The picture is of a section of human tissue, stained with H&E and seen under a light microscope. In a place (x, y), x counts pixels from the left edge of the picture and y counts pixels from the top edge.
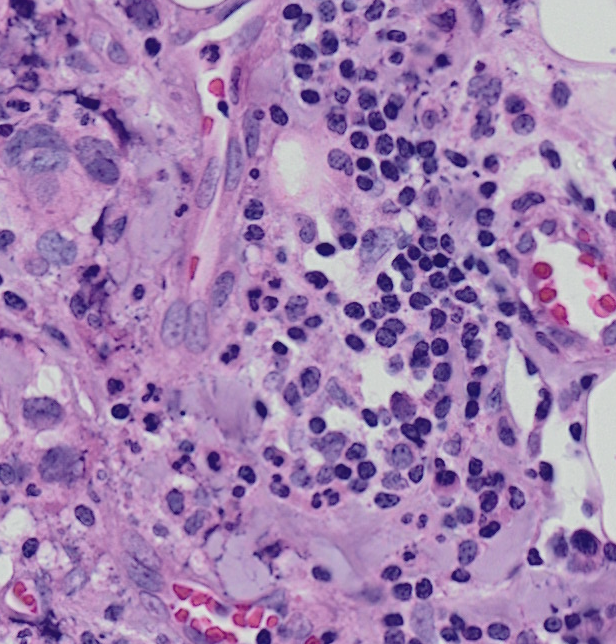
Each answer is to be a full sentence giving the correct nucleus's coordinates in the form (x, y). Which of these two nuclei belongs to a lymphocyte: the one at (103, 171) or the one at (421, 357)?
The nucleus at (421, 357) is the one that belongs to a lymphocyte.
